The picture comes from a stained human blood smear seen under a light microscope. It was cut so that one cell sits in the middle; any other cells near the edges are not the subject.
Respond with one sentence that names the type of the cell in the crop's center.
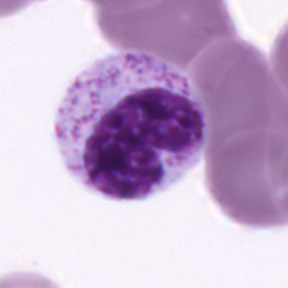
Framed in the middle of the crop is a band neutrophil.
